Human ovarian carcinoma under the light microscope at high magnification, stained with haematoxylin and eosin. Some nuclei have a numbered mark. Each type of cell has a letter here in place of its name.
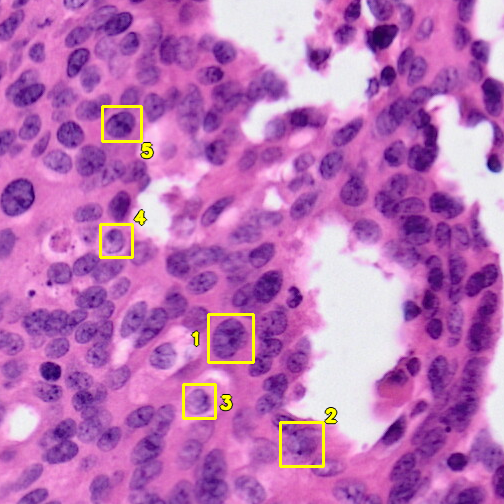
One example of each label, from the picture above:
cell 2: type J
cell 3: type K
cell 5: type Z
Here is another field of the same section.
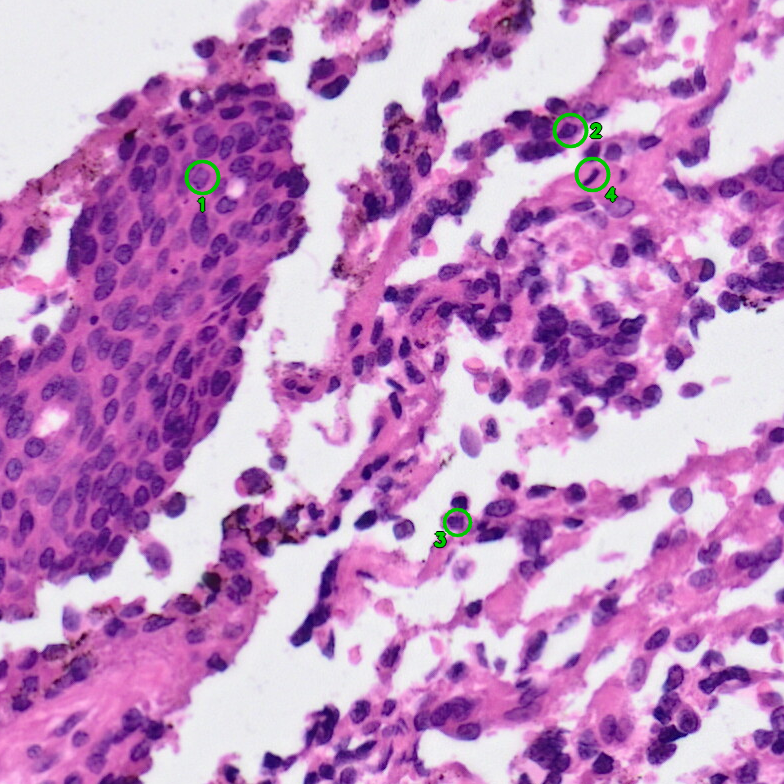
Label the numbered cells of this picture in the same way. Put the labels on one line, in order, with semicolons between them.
type Z; type K; type K; type J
